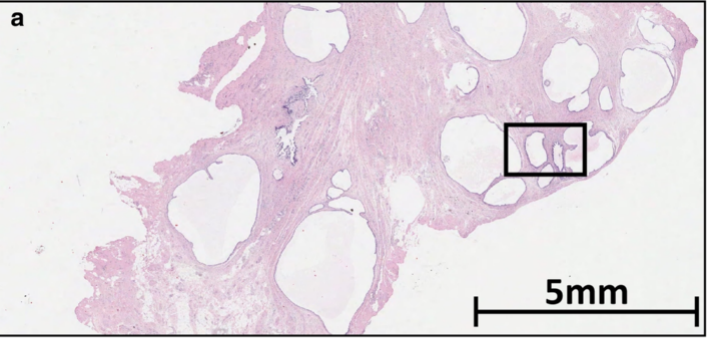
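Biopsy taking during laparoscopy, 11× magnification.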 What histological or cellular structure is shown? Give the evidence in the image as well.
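Cysts. Many rounded, mostly empty spaces of varying size lie scattered through the tissue. The spaces are separated by bands of pink, streaming fibrous tissue.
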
